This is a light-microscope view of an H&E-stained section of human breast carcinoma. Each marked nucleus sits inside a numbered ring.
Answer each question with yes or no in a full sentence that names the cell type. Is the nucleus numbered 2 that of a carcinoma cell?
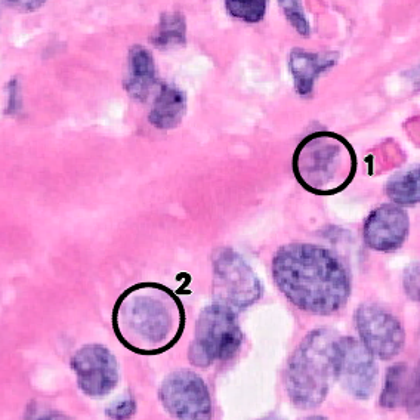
Yes, the cell given number 2 is a carcinoma cell.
